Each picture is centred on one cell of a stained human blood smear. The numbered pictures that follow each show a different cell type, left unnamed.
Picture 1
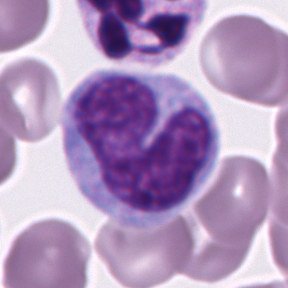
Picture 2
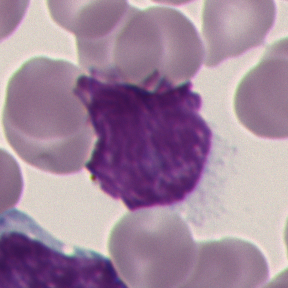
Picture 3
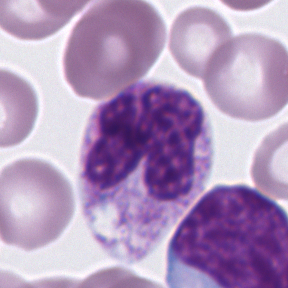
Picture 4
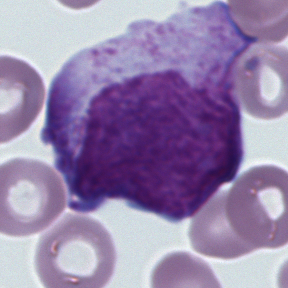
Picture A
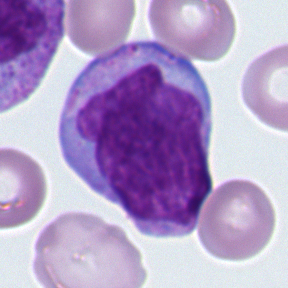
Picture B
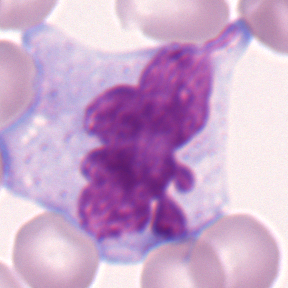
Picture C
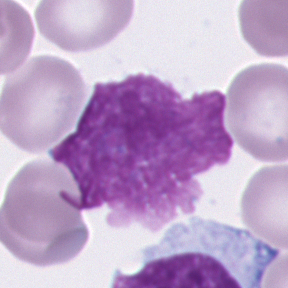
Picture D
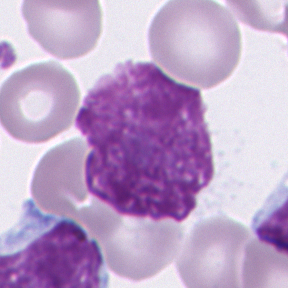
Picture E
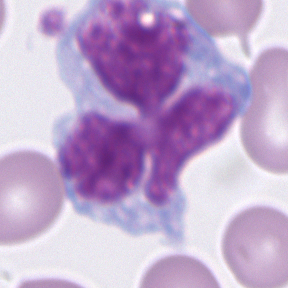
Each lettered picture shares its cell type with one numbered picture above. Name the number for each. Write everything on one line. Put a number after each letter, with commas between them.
A 4, B 1, C 2, D 2, E 1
